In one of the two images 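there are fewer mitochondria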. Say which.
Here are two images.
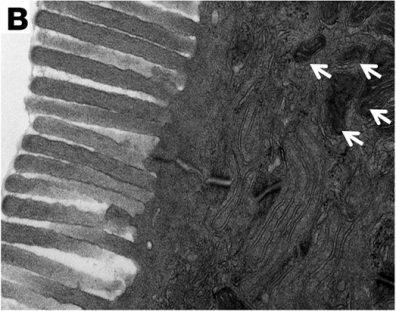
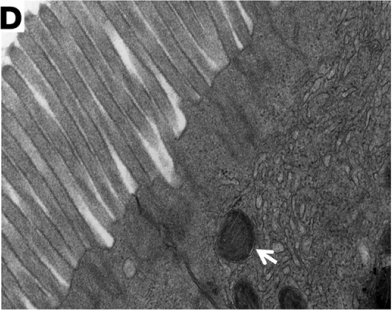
The second image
